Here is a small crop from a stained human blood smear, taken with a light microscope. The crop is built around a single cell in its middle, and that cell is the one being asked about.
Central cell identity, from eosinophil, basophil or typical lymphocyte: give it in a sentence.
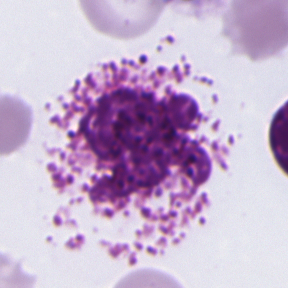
In the centre of this crop there is a basophil.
